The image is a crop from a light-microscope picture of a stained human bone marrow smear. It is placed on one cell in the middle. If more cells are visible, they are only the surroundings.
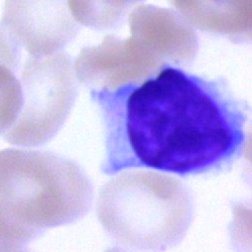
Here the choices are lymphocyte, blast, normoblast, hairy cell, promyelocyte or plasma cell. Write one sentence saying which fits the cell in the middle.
The cell positioned in the middle of the field is a lymphocyte.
